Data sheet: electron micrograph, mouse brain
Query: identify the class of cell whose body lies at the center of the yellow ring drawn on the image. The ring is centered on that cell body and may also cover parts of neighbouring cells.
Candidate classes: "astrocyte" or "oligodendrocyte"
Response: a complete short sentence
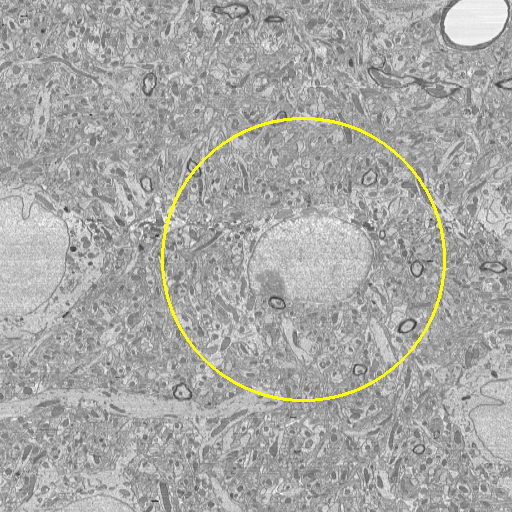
At the center of the ring lies an astrocyte.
